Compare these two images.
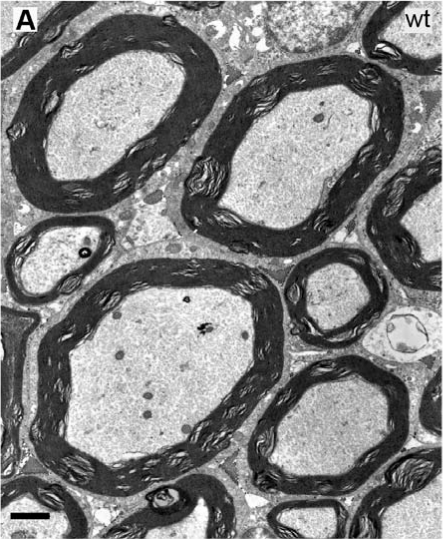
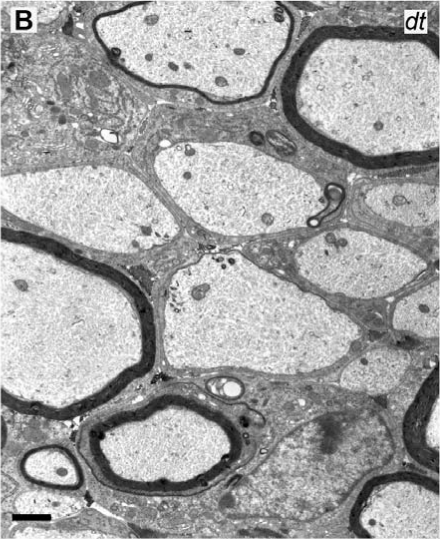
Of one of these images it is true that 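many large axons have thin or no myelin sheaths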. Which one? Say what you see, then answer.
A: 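Second image: several large axons lack any dark sheath and others have only a thin one. First image: every axon is wrapped by a thick dark sheath. So: the second image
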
